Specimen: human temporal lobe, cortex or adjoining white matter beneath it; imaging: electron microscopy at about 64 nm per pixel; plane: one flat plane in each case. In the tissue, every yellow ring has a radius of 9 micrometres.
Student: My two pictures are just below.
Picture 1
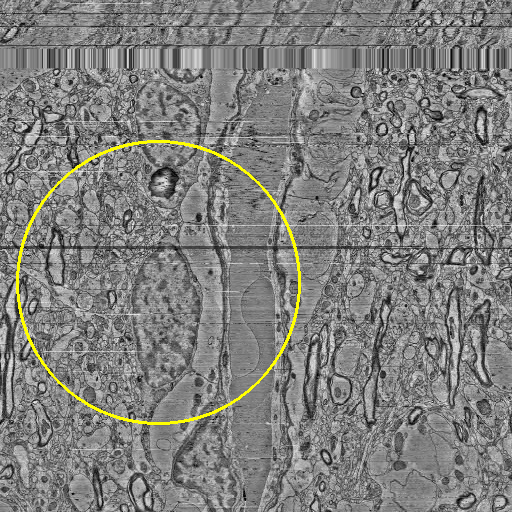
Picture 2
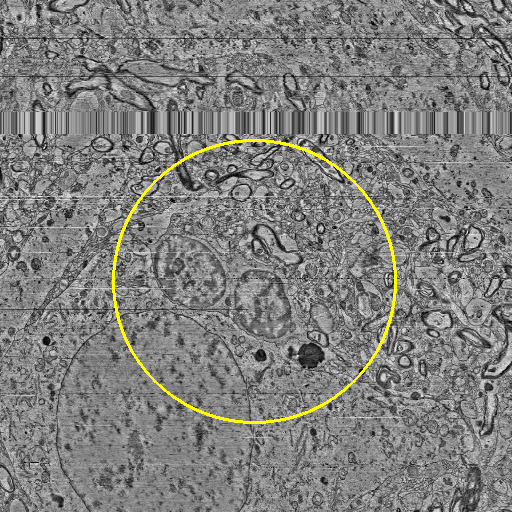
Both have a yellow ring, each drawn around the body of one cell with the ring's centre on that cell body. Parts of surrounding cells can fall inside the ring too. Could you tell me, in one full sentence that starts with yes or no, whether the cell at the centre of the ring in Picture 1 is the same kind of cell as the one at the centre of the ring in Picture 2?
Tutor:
Yes, the two cells are of the same kind.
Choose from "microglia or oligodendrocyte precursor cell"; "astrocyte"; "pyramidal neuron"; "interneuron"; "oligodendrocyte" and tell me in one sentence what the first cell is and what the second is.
Each cell, in the first picture and the second, is an oligodendrocyte.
